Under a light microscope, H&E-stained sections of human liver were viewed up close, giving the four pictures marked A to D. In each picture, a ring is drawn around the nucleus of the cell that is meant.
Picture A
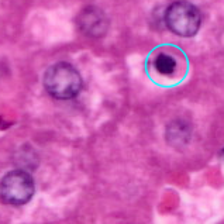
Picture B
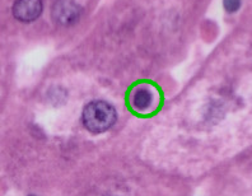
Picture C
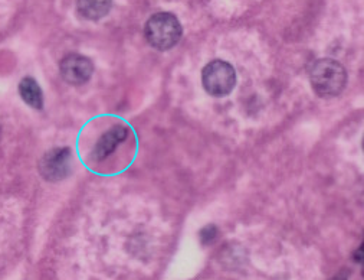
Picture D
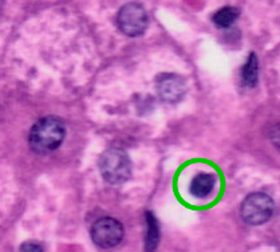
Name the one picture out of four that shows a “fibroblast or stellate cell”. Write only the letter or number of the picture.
C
